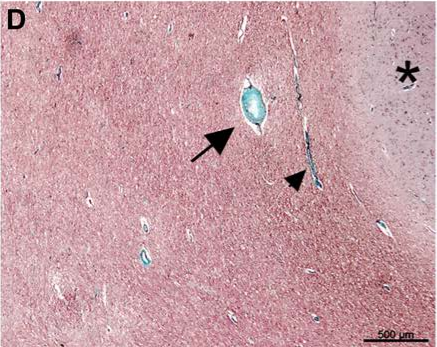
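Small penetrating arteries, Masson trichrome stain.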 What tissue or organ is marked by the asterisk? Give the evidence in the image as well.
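The asterisked region at the upper right is paler and more cellular than the red-pink tissue beside it.
Hence: cortical gray matter.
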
